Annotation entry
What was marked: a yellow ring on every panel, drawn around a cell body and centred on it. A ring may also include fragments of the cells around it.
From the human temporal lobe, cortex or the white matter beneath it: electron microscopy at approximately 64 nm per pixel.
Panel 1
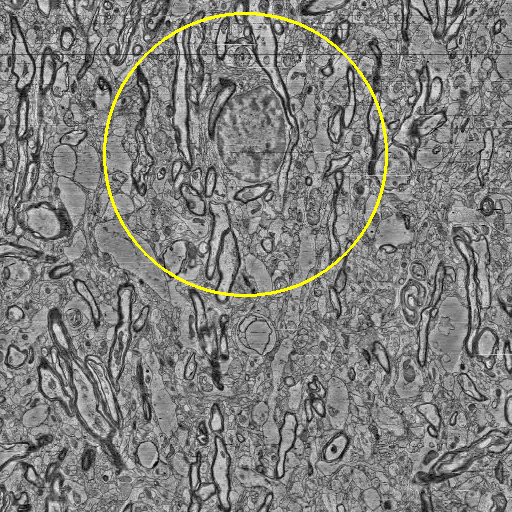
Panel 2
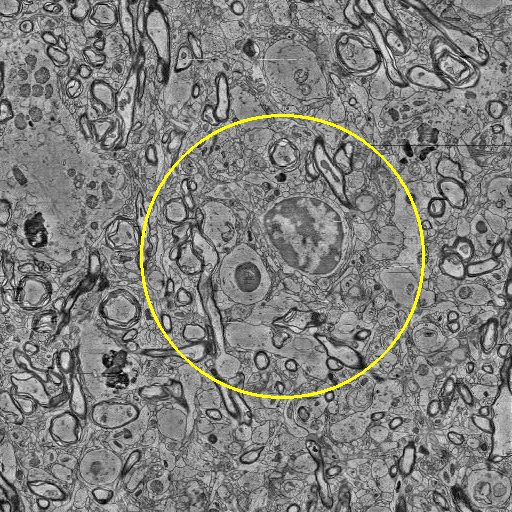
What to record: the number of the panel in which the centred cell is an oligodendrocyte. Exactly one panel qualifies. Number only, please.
1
